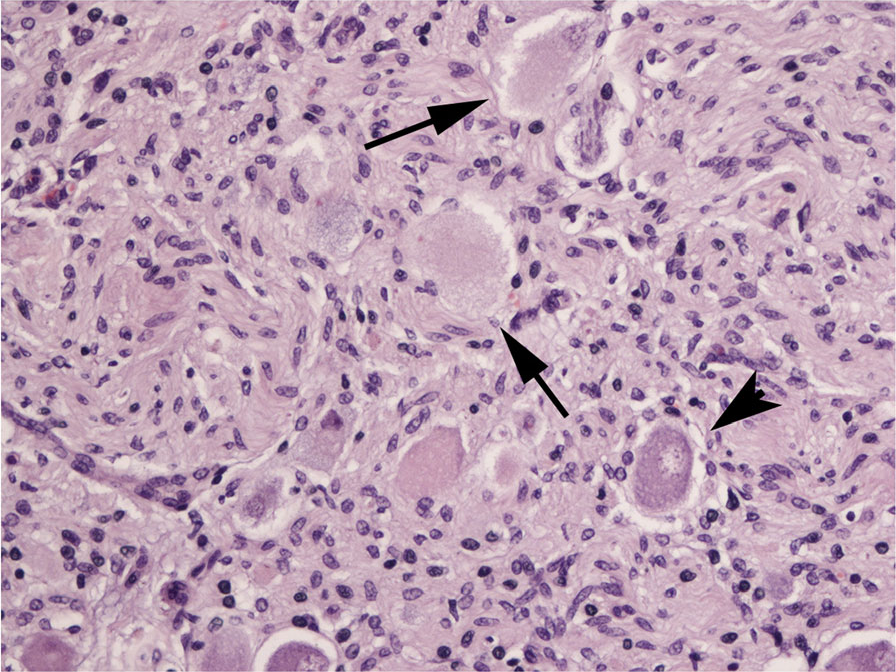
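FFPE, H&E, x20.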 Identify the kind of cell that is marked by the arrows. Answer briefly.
Ghost neurons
